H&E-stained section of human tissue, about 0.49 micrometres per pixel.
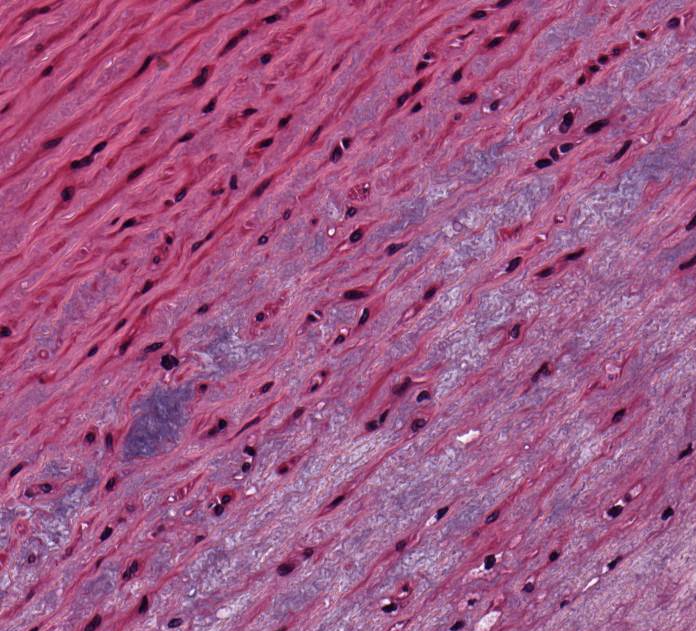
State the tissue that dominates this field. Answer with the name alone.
tunica media of an artery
